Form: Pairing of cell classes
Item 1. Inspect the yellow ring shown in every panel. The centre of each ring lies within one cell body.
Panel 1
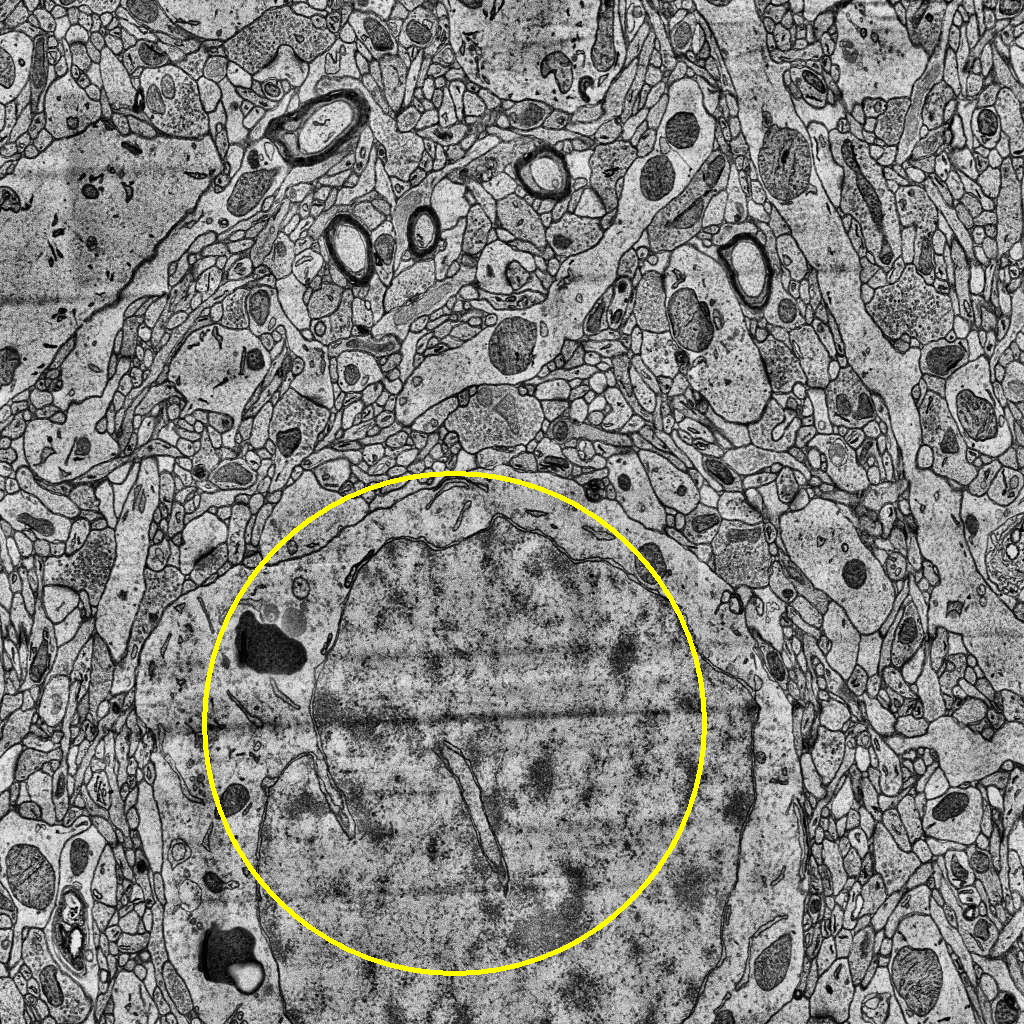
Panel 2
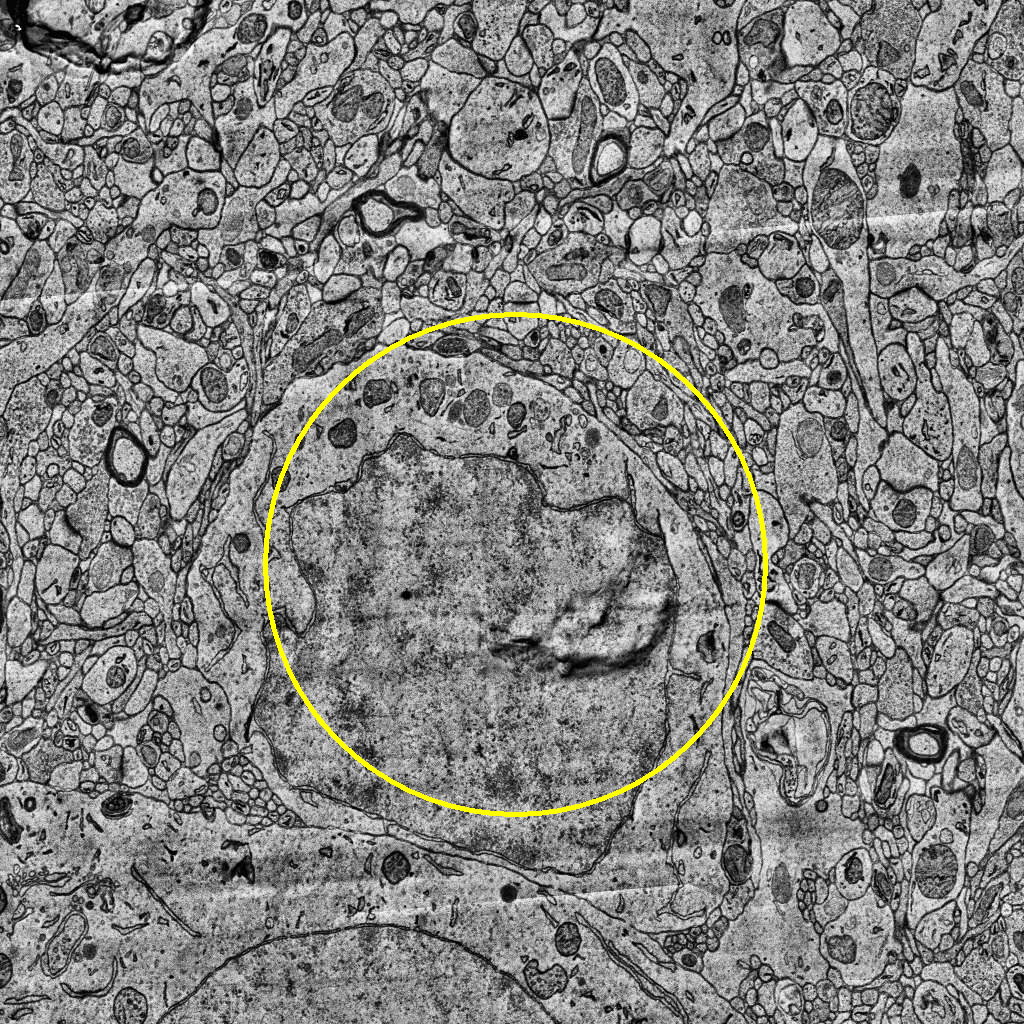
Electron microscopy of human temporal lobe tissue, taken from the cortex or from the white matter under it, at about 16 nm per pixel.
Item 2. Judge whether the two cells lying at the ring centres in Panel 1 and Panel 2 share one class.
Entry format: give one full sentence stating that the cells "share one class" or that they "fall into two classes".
The cells at the ring centres in Panel 1 and Panel 2 share one class.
